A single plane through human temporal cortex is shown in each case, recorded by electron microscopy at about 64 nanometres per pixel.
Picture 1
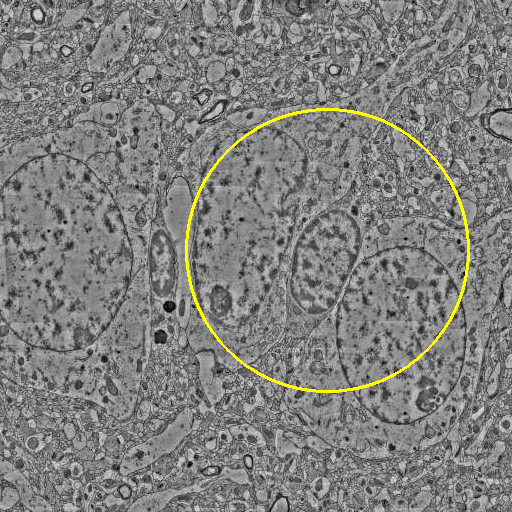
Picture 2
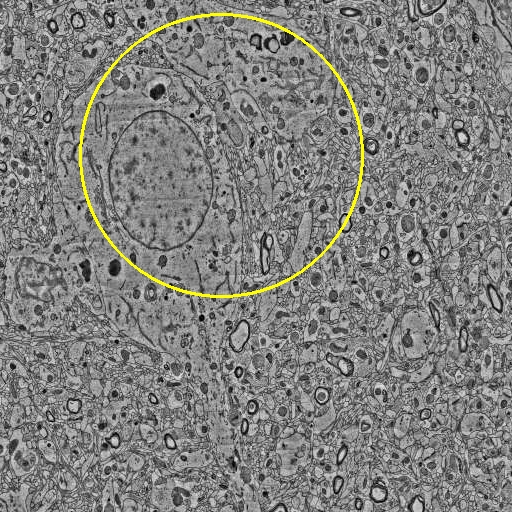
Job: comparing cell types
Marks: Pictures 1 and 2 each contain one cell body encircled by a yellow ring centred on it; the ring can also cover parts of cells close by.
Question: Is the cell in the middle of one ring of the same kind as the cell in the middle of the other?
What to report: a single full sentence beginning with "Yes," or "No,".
Yes, the cell at the ring centre in Picture 1 and its partner in Picture 2 are of one kind.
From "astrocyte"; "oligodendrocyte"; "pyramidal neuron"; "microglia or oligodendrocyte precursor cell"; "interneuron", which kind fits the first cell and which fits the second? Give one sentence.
Both cells are the same kind, each one being an oligodendrocyte.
